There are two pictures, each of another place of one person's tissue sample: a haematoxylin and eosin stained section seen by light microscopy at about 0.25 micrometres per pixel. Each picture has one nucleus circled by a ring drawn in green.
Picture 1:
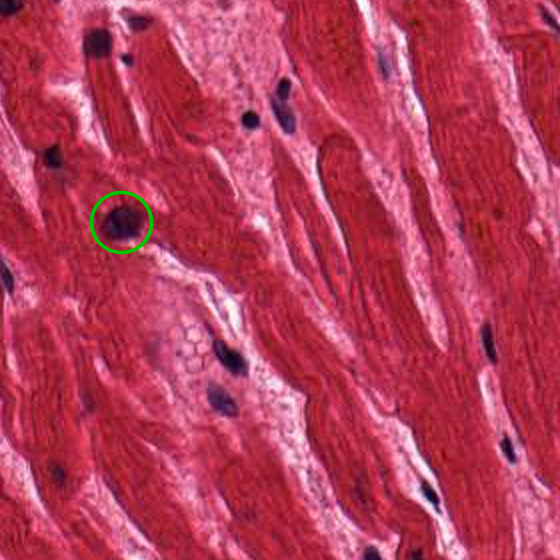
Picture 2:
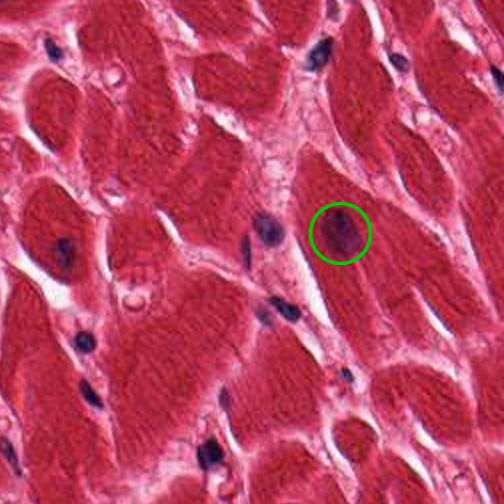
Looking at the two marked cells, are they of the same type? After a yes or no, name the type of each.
Yes, both are cardiomyocytes.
